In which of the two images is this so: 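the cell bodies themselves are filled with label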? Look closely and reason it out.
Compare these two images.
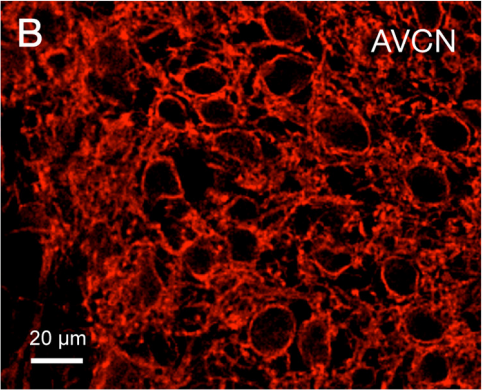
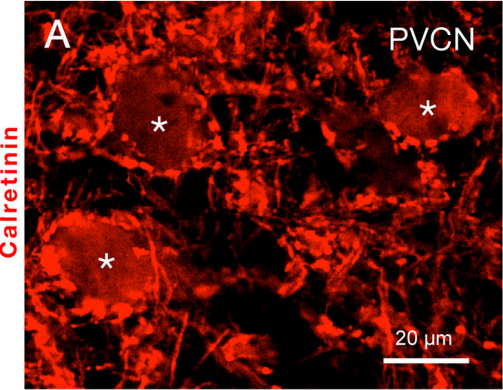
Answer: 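The second image. First image: round cell bodies are dark and unlabeled, outlined only by red puncta. Second image: large cell bodies are filled with diffuse red label.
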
